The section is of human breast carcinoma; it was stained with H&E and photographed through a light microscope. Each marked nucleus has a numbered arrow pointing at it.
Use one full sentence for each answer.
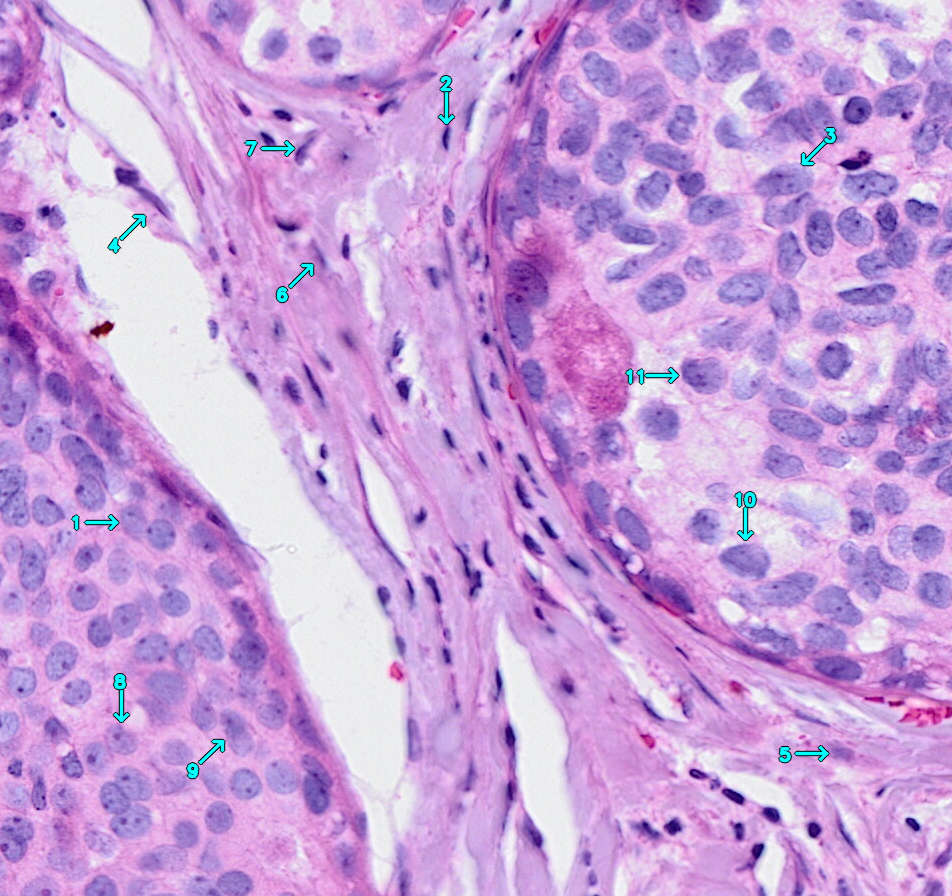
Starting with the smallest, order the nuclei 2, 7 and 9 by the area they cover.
The order from the smallest nucleus to the largest is 2, 7, 9.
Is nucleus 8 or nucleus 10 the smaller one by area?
Number 8 is smaller, since number 10 takes up about 2 times as much area.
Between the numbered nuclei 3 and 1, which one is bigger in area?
Nucleus 3 is the larger one, covering about 2.5 times the area of nucleus 1.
